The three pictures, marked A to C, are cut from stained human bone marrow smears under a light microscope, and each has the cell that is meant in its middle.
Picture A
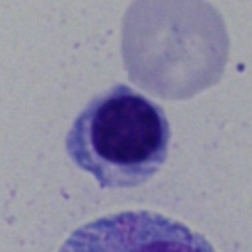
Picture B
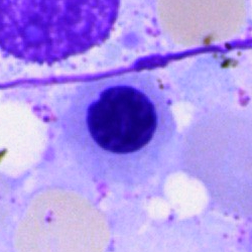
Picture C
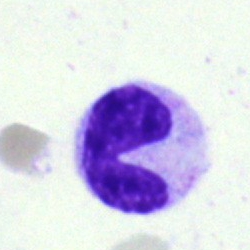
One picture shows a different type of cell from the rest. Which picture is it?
C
